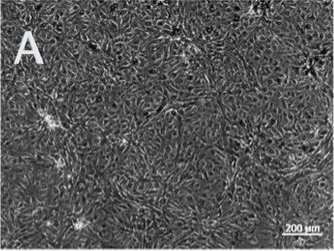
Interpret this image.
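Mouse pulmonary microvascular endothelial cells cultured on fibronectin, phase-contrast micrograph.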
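The cells are flat and closely packed, polygonal to elongated in outline. In places neighbouring cells align in loose swirls and streams. No open spaces are left between the cells. A few small bright refractile spots are scattered over the layer.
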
